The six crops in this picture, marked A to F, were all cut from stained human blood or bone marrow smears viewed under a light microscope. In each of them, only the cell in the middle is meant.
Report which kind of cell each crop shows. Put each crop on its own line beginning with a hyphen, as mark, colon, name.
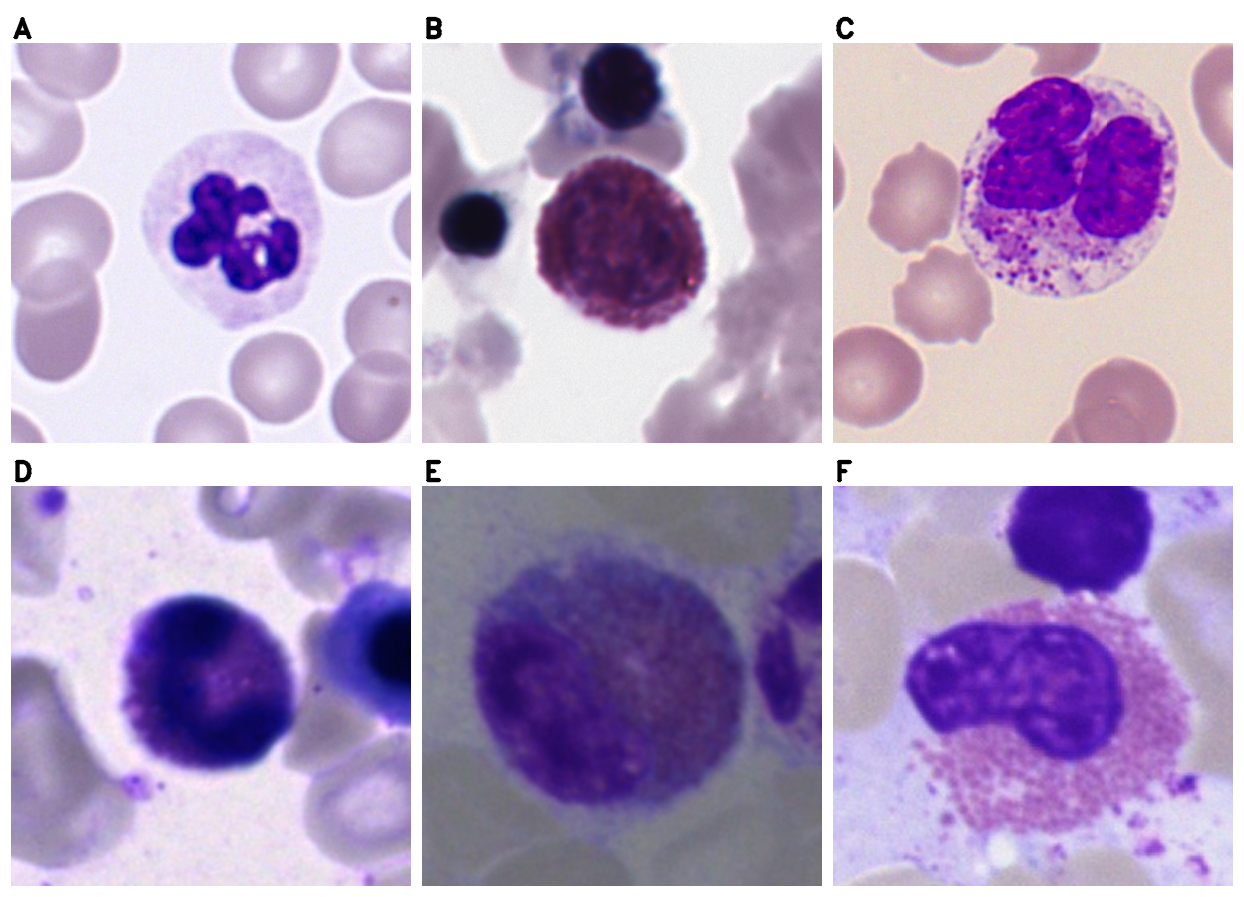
- A: segmented neutrophil
- B: eosinophil
- C: basophil
- D: eosinophil
- E: eosinophil
- F: eosinophil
